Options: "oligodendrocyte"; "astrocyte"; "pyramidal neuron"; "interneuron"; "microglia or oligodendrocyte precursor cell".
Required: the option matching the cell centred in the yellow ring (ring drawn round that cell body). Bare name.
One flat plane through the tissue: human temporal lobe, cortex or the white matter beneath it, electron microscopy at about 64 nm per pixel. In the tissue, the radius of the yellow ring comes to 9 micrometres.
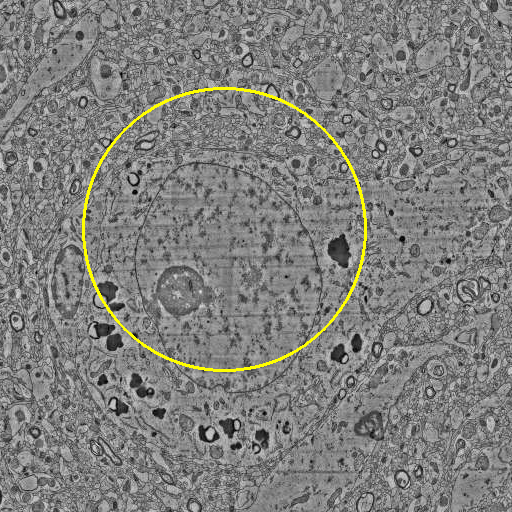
pyramidal neuron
